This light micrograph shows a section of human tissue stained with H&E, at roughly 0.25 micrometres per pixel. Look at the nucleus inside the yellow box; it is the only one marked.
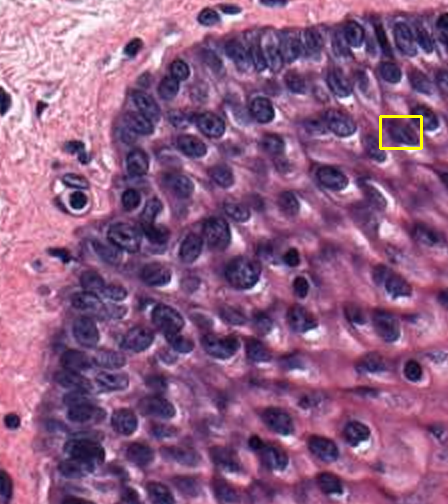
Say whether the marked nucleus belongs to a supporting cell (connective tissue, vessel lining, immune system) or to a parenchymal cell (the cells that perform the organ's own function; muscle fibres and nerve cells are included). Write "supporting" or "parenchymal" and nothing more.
parenchymal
